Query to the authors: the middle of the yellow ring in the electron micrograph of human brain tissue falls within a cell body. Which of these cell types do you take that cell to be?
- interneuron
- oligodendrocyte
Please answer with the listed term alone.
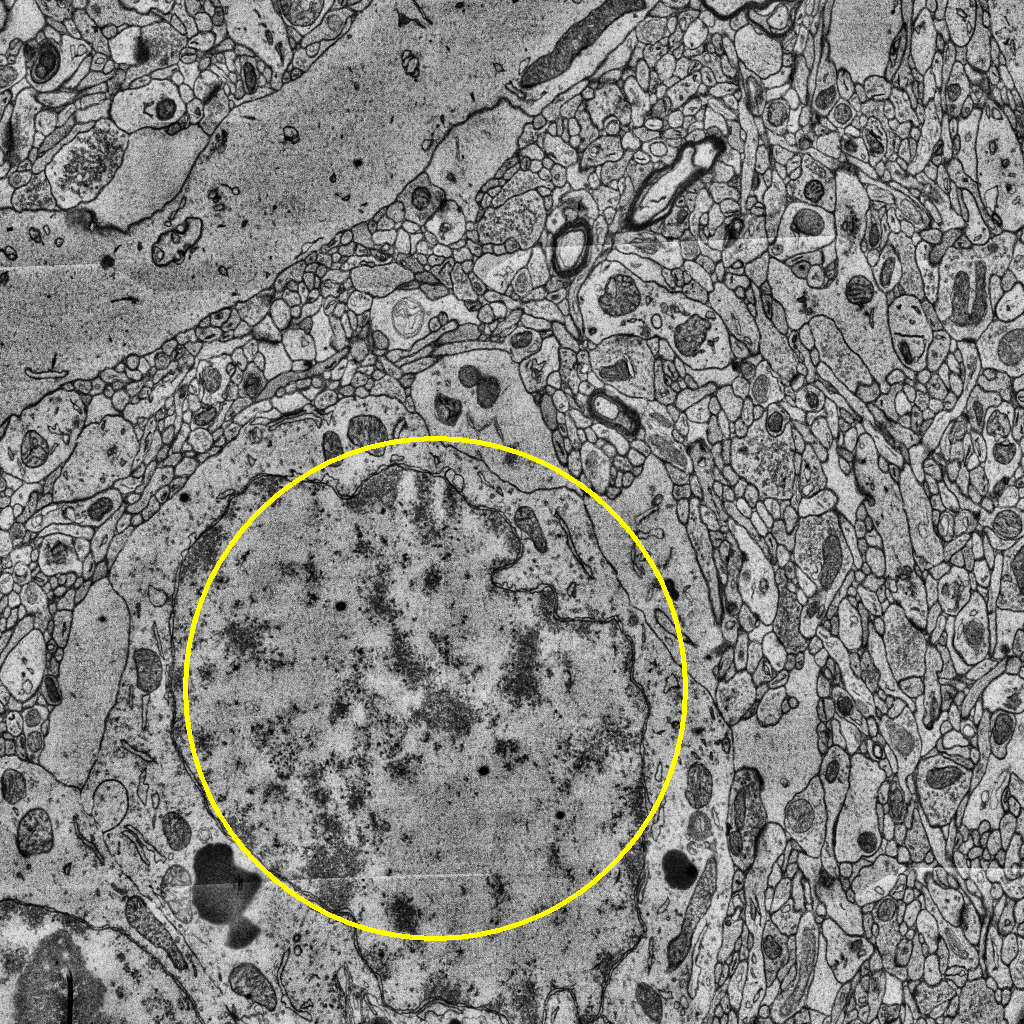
interneuron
